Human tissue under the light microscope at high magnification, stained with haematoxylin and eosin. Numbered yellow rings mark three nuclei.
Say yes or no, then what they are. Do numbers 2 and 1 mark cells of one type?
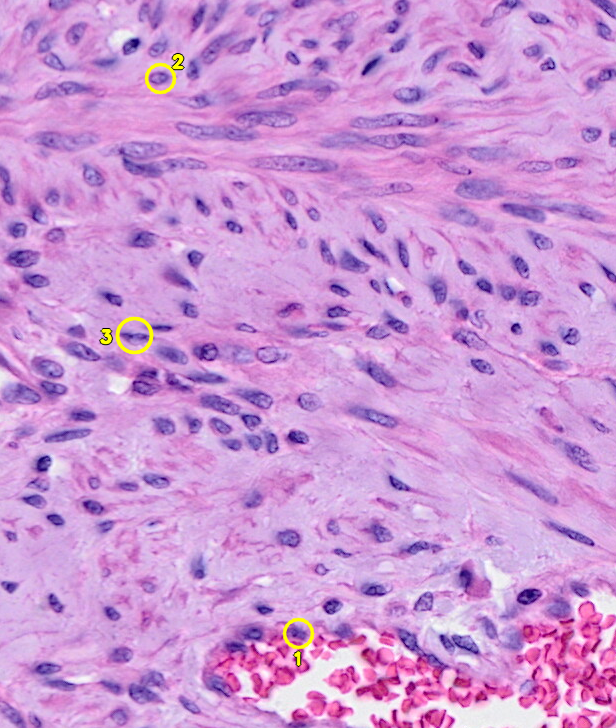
No, cell 2 should be called a smooth muscle cell, and cell 1 should be called an endothelial cell.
